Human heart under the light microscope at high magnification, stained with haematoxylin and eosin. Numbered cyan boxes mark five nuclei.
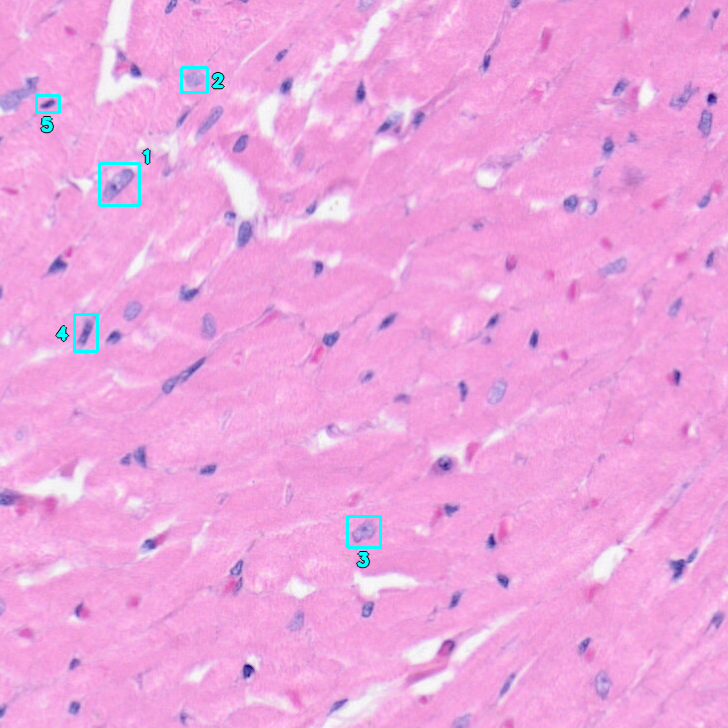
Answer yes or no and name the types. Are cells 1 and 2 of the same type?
Yes, that cells 1 and 2 are both cardiomyocytes holds true.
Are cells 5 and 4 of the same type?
No, unlike cell 4, which is a fibroblast, cell 5 is an endothelial cell.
